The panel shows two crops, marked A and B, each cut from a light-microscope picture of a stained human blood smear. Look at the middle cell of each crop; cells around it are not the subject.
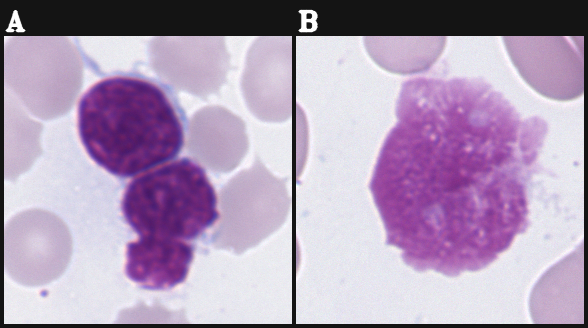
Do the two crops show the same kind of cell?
no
